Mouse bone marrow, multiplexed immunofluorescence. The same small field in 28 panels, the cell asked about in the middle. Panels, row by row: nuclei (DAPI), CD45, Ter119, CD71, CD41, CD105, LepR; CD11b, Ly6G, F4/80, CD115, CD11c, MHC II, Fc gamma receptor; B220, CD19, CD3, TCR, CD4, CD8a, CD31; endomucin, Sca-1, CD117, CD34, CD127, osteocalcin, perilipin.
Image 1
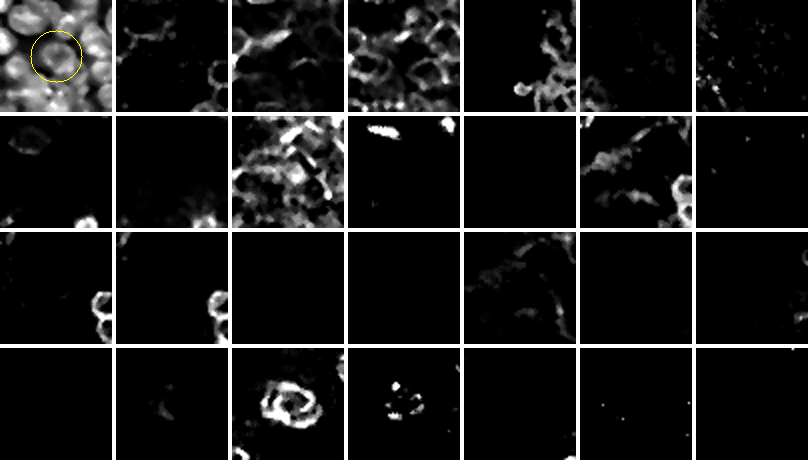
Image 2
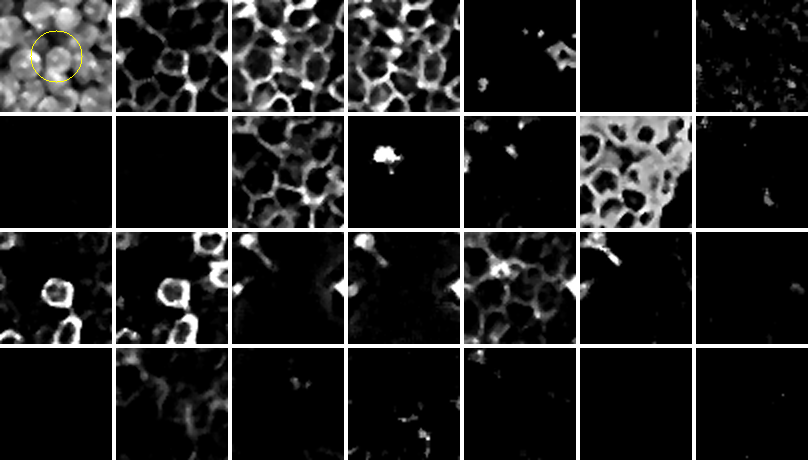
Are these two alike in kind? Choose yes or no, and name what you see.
No. First a common myeloid progenitor, second a B cell.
